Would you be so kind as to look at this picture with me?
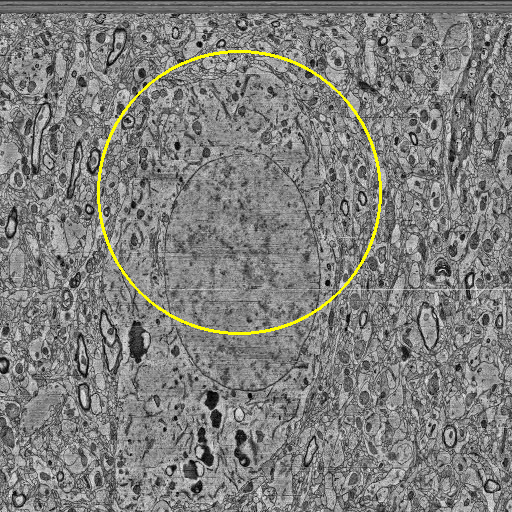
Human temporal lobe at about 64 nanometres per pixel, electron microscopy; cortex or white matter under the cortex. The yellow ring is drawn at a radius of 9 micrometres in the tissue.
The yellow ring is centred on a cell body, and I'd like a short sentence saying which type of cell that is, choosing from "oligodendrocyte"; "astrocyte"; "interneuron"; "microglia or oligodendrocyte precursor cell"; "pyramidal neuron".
The cell body in the ring belongs to a pyramidal neuron.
